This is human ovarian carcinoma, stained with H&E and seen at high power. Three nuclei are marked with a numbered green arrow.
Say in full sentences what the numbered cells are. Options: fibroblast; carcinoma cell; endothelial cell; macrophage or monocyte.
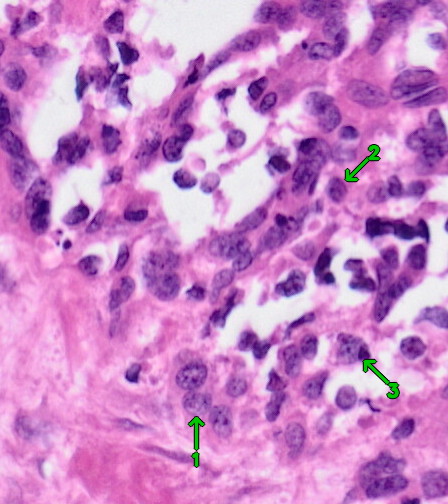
Cell 1 is a carcinoma cell, cell 2 is a carcinoma cell and cell 3 is a macrophage or monocyte.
